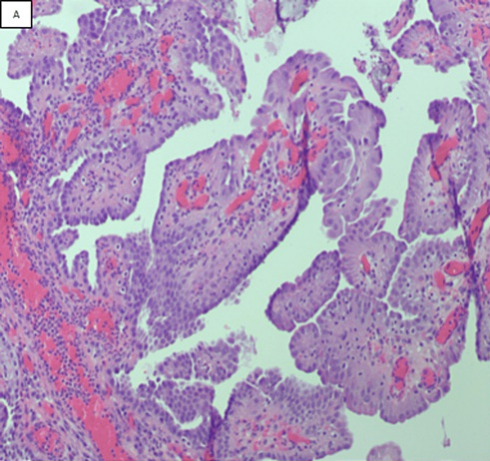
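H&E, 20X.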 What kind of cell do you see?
Cuboidal eosinophilic cells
